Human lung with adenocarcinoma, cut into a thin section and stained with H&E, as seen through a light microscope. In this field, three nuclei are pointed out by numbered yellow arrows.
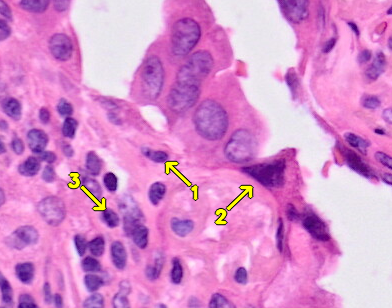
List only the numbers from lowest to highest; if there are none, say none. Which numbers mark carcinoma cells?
2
